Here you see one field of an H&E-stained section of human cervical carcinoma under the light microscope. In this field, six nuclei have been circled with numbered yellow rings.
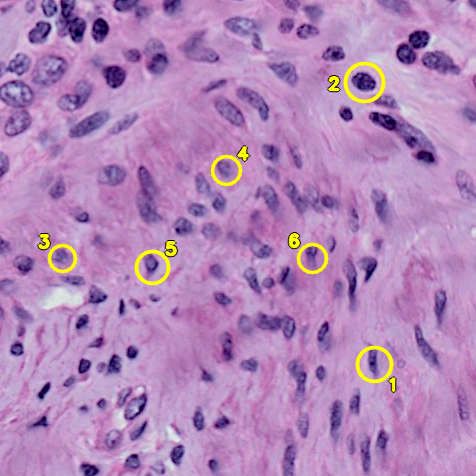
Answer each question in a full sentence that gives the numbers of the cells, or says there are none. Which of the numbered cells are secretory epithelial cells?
Of the numbered cells, zero are secretory epithelial cells.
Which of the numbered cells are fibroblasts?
Among the numbered cells, cell 1 alone is a fibroblast.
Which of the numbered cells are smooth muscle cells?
The cells bearing the numbers 3, 4, 5 and 6 are smooth muscle cells.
